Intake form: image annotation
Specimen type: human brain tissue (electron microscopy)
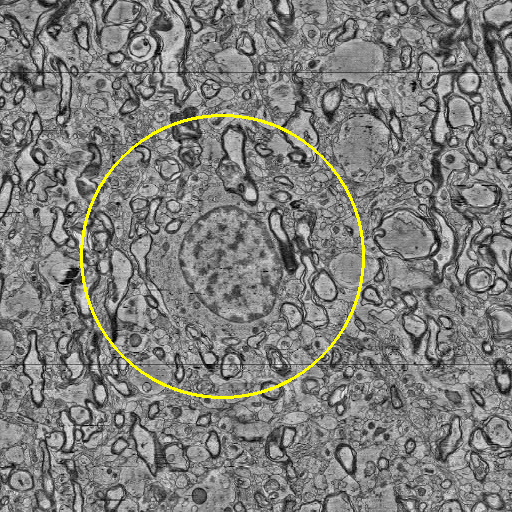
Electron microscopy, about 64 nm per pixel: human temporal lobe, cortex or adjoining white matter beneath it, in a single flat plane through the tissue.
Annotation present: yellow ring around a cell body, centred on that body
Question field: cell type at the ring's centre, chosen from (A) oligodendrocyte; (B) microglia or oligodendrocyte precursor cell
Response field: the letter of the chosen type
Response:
A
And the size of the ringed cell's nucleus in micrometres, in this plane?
Roughly 8 by 7 micrometres in this plane, for the nucleus of the ringed cell.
